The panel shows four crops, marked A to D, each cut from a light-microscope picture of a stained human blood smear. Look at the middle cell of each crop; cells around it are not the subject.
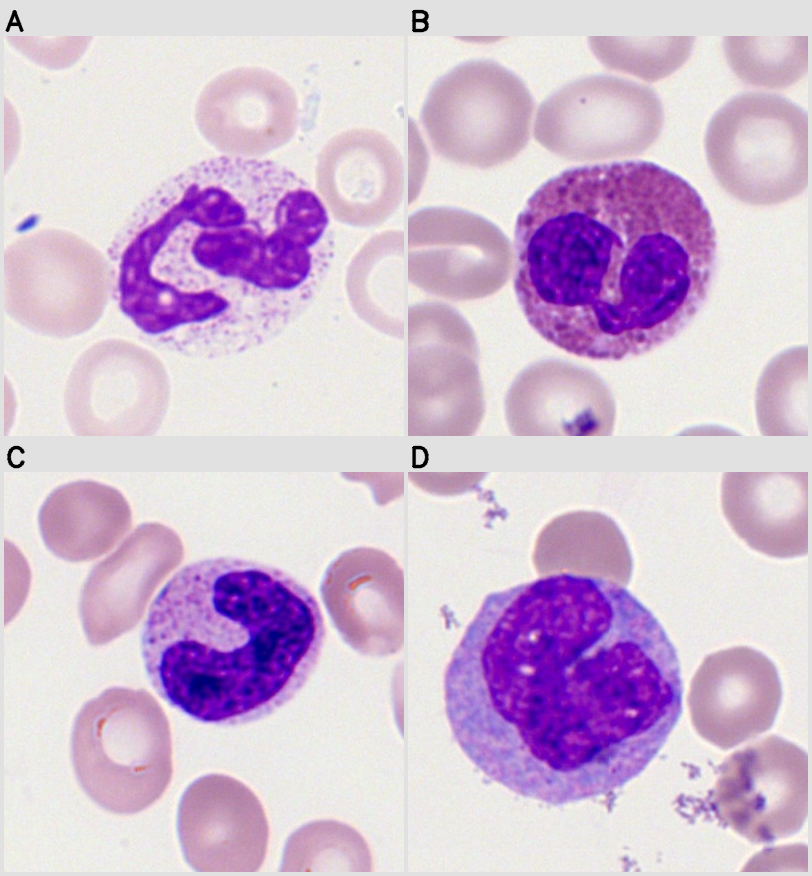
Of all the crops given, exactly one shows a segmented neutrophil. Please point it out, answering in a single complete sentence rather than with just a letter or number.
Crop A is identified as the crop showing a segmented neutrophil.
